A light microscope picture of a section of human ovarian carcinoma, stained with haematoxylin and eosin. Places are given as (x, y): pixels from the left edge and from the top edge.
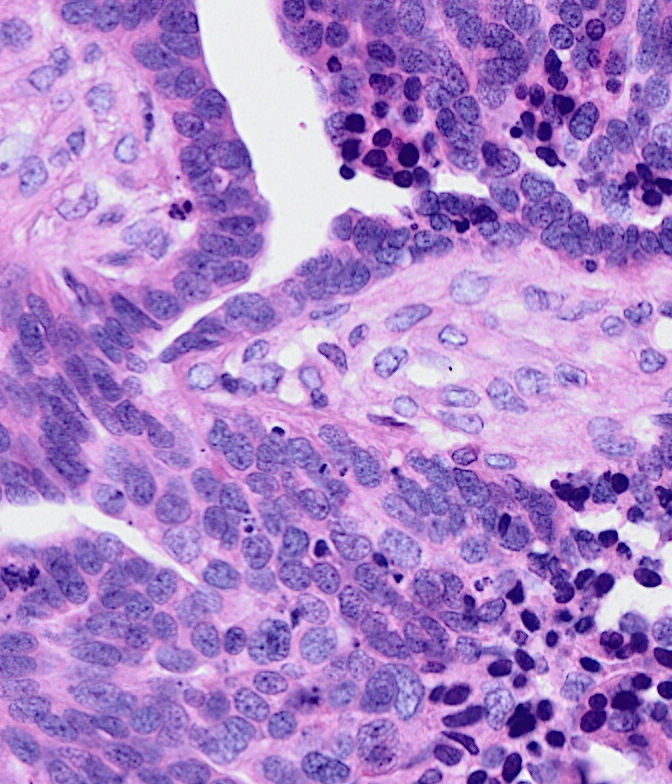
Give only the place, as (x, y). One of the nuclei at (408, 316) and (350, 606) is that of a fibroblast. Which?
(408, 316)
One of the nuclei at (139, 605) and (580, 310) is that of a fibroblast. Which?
(580, 310)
